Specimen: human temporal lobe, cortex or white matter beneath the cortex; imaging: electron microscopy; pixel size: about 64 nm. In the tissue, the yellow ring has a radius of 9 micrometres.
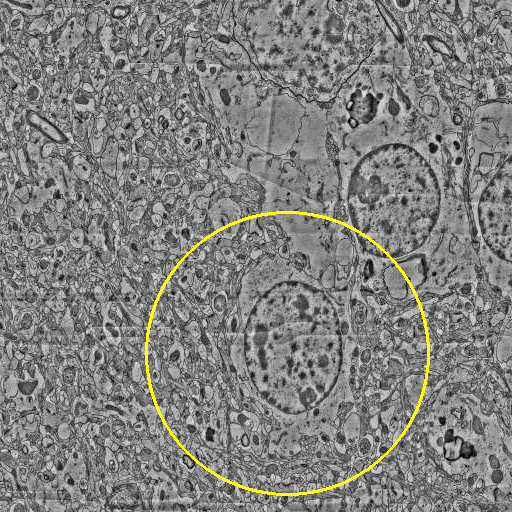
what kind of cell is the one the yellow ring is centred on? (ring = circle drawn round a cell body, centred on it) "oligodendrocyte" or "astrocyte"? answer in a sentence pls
The ring is drawn around an astrocyte.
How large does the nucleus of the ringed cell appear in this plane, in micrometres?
Approximately 9 x 6 micrometres in this plane.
